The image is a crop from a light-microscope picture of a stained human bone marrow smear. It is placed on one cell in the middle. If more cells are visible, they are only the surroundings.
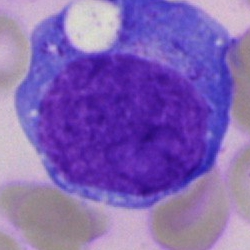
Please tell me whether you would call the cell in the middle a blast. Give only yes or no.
yes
